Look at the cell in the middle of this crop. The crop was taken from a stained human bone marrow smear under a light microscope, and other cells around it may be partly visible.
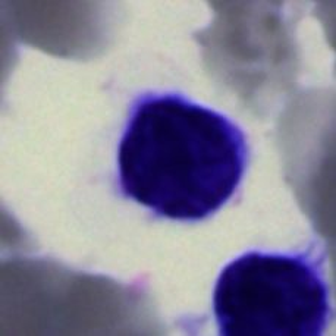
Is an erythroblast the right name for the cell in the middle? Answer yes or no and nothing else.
no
